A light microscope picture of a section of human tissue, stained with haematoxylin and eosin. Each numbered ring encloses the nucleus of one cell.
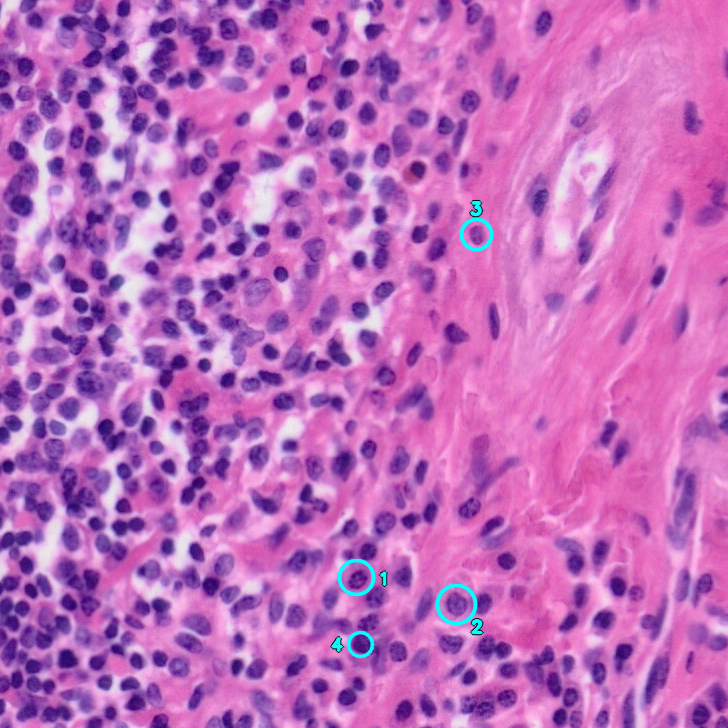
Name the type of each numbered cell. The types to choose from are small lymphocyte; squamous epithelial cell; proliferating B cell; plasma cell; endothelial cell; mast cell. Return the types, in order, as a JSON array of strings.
["plasma cell", "plasma cell", "mast cell", "plasma cell"]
